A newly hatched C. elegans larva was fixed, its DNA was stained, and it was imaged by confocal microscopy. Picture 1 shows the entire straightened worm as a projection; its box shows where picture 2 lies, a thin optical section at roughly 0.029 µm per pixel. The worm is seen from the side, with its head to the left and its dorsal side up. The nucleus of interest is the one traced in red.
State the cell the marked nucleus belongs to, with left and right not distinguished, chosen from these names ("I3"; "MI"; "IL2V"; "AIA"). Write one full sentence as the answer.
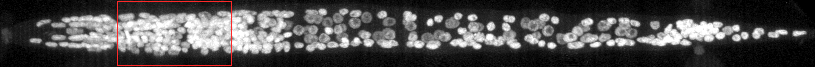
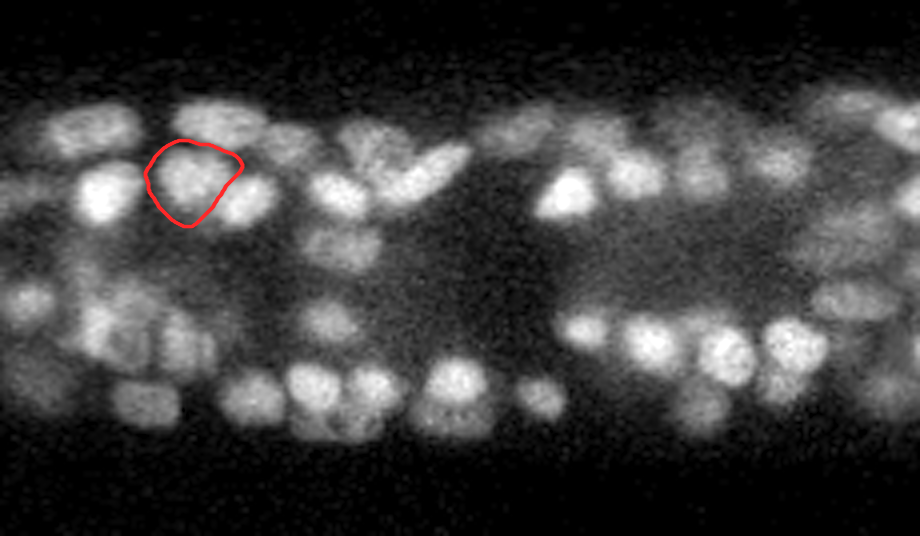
This is the nucleus of MI, a neuron.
